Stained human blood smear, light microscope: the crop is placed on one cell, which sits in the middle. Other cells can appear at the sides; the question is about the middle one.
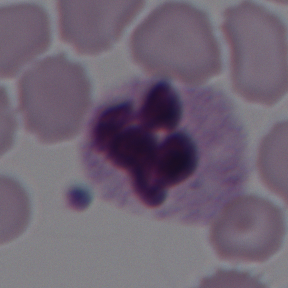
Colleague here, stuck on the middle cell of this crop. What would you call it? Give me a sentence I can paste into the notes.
At the crop's centre, the cell is a segmented neutrophil.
